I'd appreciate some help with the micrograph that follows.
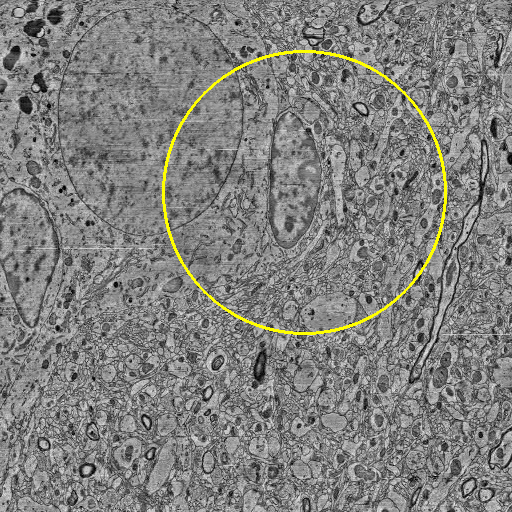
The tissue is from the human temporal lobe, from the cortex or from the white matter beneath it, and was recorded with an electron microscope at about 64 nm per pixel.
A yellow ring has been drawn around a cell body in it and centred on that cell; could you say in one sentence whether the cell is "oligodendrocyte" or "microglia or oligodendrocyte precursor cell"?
It is a microglial cell or oligodendrocyte precursor cell at the centre of the ring.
